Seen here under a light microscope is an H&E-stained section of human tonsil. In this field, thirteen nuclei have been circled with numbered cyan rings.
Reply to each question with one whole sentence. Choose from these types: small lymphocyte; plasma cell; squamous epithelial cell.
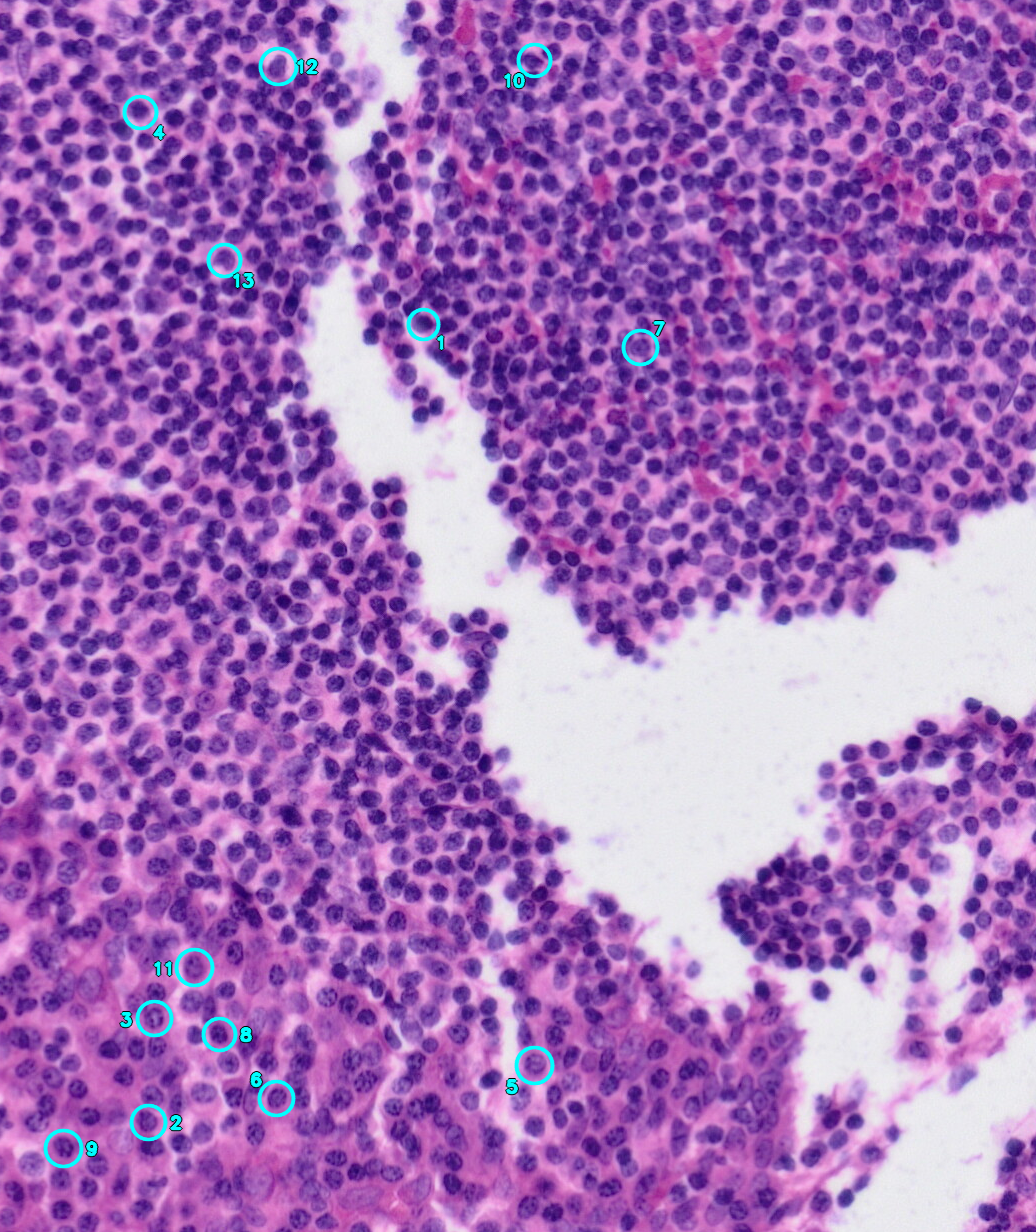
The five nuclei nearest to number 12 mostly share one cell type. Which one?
Most of the five nuclei nearest to number 12 are those of small lymphocytes.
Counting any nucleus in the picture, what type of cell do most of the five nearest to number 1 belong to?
Small lymphocytes account for more than half of the five nuclei nearest to number 1.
